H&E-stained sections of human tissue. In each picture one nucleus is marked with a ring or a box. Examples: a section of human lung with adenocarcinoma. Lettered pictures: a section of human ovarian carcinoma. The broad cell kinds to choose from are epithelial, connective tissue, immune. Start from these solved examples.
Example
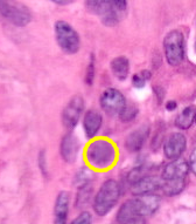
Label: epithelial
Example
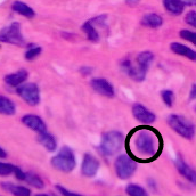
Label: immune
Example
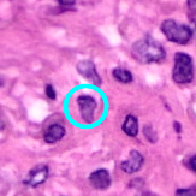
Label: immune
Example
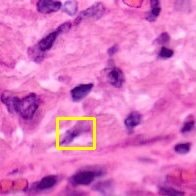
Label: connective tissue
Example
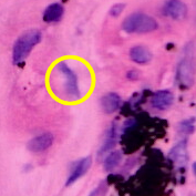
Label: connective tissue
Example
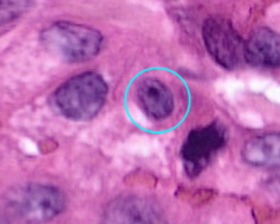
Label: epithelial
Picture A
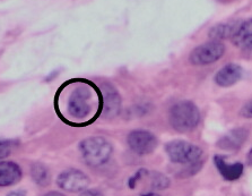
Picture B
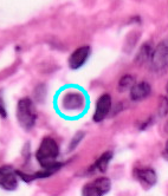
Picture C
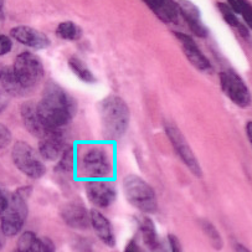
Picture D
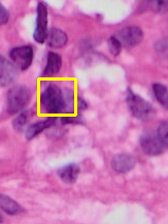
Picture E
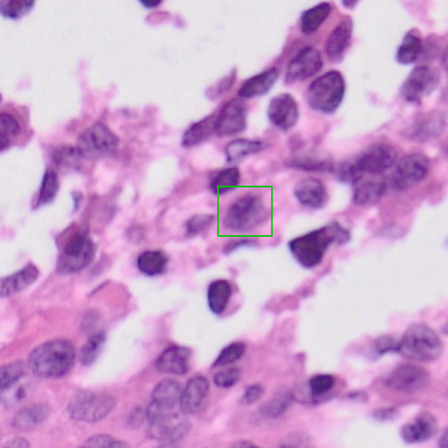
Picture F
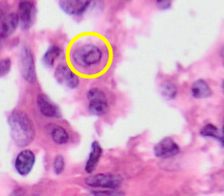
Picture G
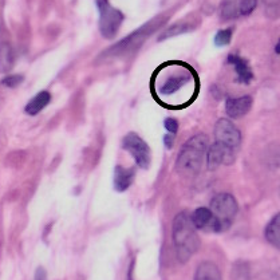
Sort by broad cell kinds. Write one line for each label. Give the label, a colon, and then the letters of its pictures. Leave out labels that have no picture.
epithelial: B, C, D, E
immune: A, F, G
